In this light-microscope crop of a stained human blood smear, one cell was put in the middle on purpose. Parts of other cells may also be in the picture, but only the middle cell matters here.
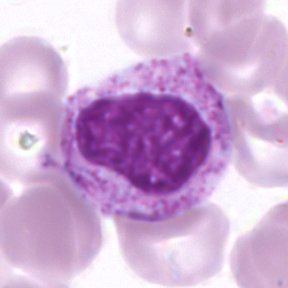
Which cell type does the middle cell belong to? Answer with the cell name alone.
metamyelocyte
